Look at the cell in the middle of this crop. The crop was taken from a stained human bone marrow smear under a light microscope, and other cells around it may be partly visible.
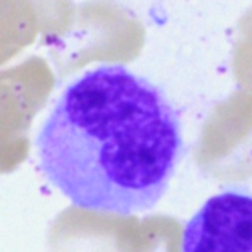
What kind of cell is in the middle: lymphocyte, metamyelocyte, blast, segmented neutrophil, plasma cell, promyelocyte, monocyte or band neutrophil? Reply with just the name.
metamyelocyte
